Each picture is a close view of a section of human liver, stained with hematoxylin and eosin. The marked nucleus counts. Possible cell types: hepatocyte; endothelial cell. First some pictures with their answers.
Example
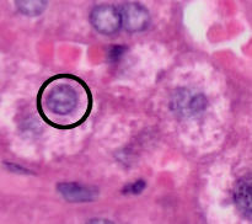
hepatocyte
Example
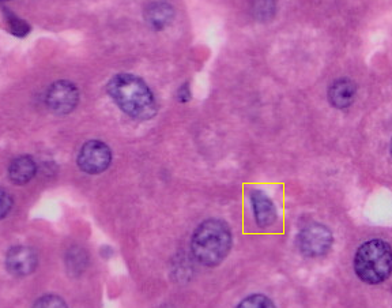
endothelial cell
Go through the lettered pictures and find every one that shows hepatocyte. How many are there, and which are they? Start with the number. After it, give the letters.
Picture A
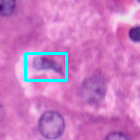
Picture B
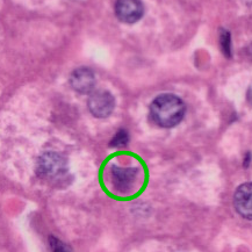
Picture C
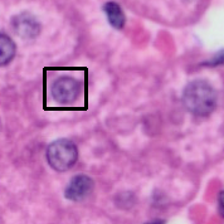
1, namely C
